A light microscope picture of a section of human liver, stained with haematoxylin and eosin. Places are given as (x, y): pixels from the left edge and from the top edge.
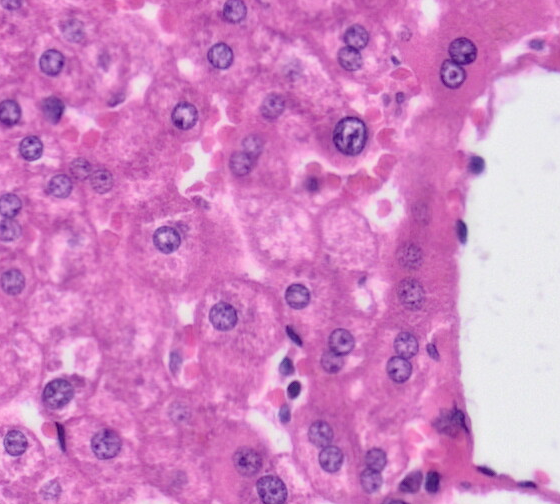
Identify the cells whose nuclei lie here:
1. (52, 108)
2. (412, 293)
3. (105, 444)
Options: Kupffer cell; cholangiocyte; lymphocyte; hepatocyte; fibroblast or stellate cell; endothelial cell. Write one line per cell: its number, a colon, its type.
1: endothelial cell
2: hepatocyte
3: hepatocyte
